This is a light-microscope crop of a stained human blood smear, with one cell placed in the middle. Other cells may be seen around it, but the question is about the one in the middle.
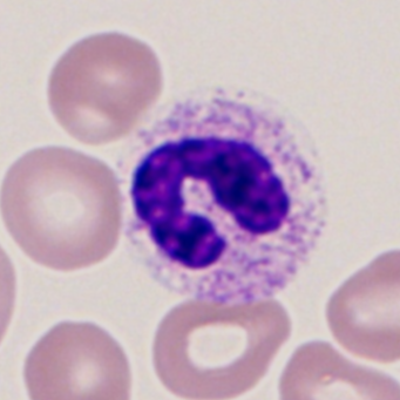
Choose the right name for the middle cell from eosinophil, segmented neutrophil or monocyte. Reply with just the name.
segmented neutrophil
